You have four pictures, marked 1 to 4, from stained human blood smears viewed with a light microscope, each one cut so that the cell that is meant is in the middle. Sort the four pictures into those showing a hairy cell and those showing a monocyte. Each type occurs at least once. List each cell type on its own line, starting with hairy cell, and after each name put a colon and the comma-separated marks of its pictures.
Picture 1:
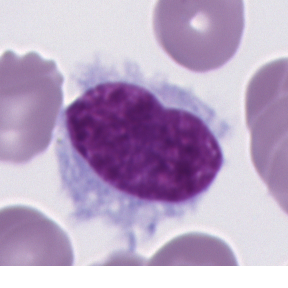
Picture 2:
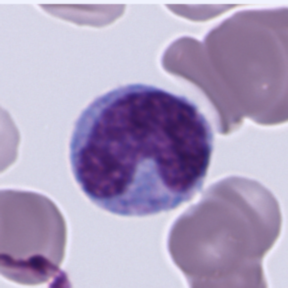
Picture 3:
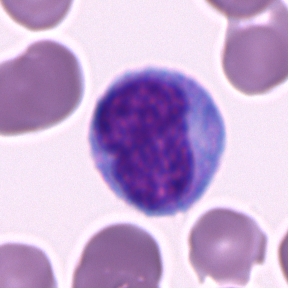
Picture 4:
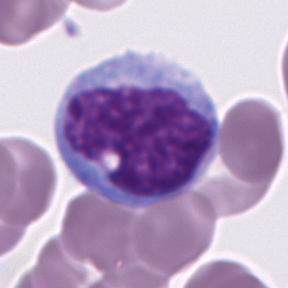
hairy cell: 1
monocyte: 2, 3, 4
